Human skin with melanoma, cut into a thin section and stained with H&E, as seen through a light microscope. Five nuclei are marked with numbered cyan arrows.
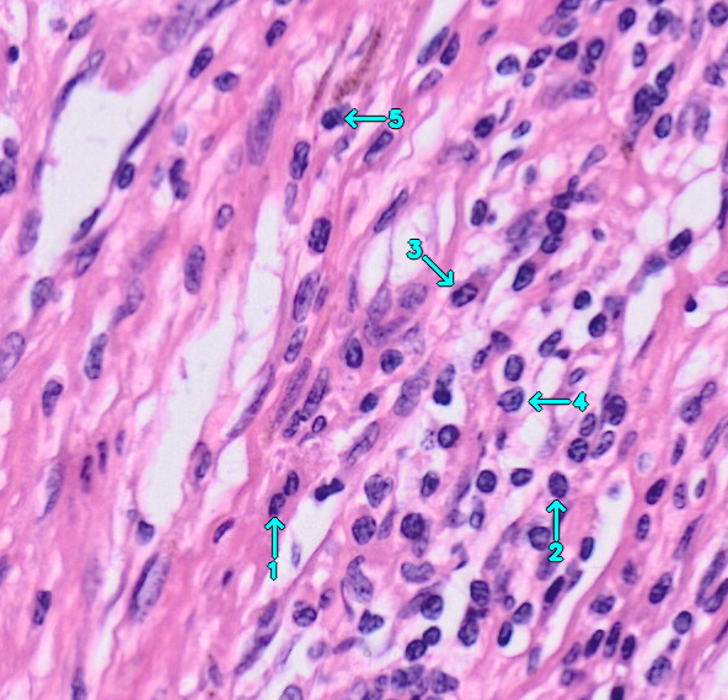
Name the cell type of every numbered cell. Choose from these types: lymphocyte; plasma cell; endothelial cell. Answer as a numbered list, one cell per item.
1. plasma cell
2. lymphocyte
3. plasma cell
4. lymphocyte
5. lymphocyte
